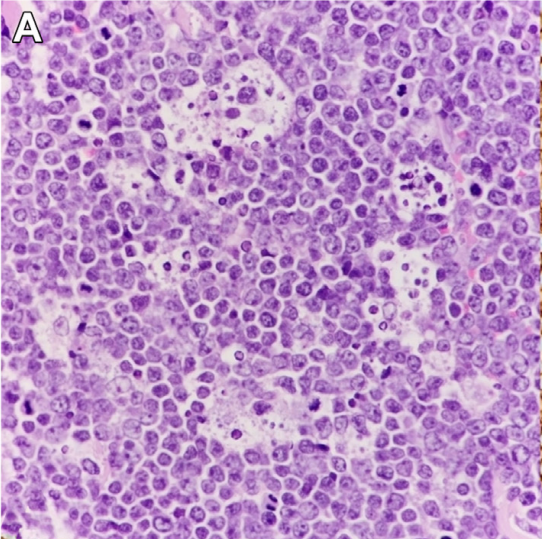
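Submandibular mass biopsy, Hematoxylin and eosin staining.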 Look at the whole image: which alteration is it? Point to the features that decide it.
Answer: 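Sheets of dark, closely packed lymphoid cells. Scattered pale clear spaces holding macrophages with debris are spread through the sheet.
Answer: “starry sky” appearance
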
